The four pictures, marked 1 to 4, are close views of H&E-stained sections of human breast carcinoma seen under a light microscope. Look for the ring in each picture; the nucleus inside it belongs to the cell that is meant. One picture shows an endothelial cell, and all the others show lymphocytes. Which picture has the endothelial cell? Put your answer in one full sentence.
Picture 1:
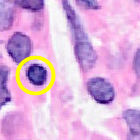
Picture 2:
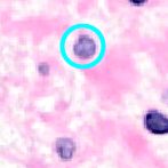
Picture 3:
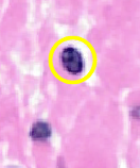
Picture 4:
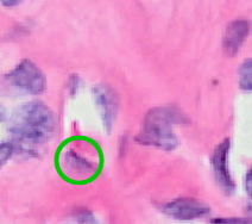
It is picture 4 that shows the endothelial cell.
